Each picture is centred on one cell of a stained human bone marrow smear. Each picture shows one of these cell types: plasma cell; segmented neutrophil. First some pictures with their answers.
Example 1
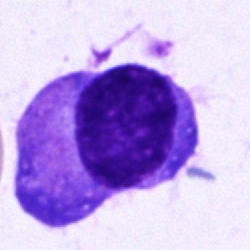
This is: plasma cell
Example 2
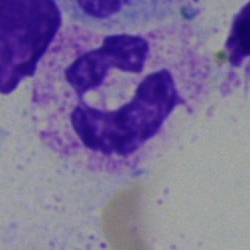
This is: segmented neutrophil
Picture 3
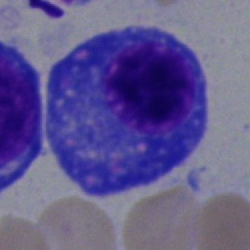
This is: plasma cell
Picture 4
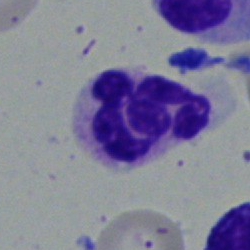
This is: segmented neutrophil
